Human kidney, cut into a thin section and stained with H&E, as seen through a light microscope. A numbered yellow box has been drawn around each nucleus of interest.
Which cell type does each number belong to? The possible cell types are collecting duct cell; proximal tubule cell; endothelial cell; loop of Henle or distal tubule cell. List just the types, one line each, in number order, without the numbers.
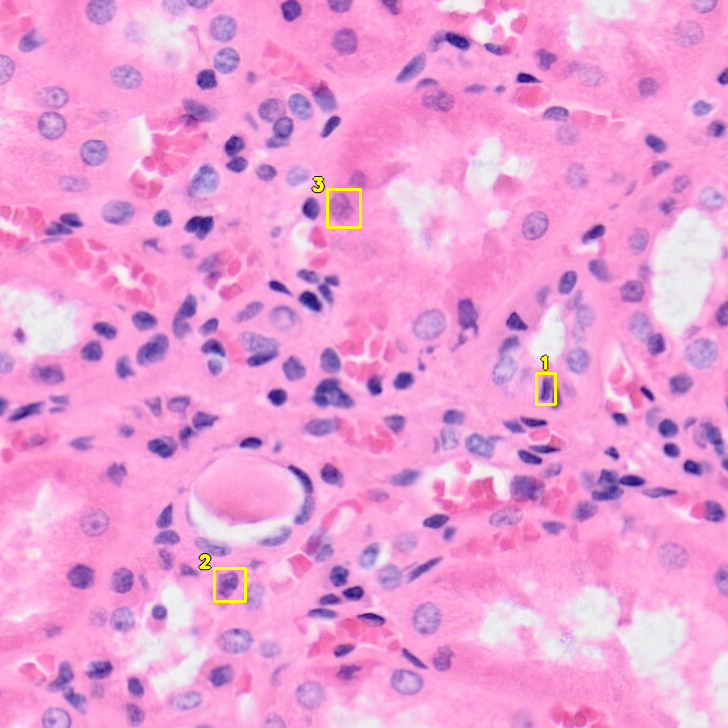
collecting duct cell
loop of Henle or distal tubule cell
proximal tubule cell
